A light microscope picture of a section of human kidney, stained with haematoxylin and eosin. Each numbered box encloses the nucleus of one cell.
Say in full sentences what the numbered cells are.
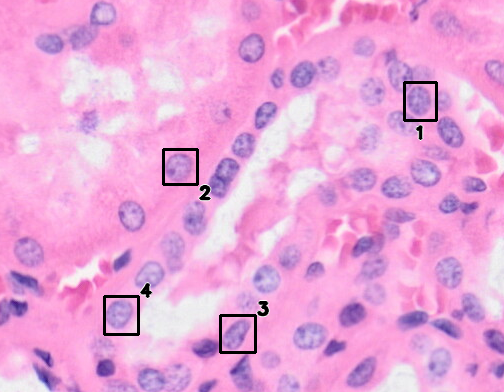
Cell 1 is a collecting duct cell, cell 2 is a proximal tubule cell, cell 3 is a collecting duct cell and cell 4 is a collecting duct cell.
